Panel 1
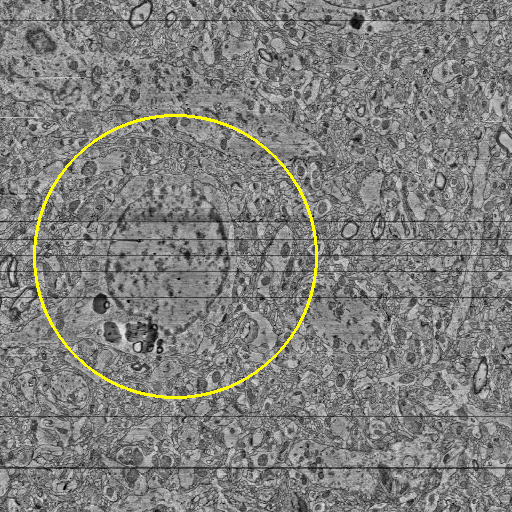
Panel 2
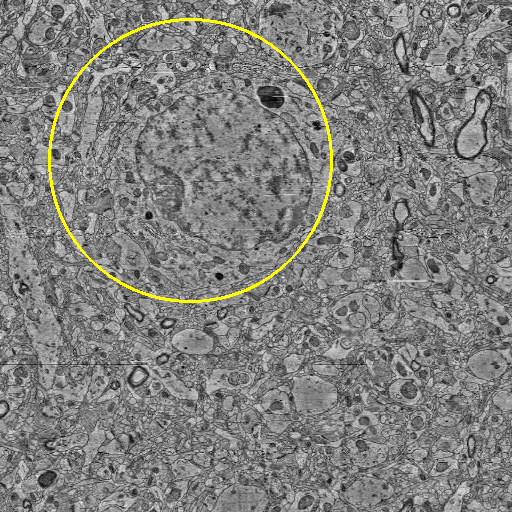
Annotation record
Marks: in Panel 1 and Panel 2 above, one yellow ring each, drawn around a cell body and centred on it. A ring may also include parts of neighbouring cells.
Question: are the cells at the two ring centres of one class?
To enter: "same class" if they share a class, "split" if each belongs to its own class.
same class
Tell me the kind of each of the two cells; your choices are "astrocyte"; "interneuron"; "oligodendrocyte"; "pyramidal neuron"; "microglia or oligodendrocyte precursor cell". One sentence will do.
Each of the two cells is an interneuron.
